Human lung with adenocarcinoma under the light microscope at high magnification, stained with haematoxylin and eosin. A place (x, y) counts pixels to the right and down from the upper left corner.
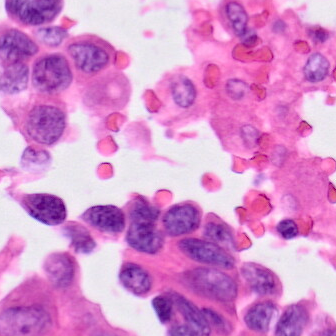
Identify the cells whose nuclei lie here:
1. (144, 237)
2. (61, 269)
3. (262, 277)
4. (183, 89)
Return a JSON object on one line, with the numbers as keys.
{"1": "carcinoma cell", "2": "carcinoma cell", "3": "carcinoma cell", "4": "macrophage or monocyte"}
